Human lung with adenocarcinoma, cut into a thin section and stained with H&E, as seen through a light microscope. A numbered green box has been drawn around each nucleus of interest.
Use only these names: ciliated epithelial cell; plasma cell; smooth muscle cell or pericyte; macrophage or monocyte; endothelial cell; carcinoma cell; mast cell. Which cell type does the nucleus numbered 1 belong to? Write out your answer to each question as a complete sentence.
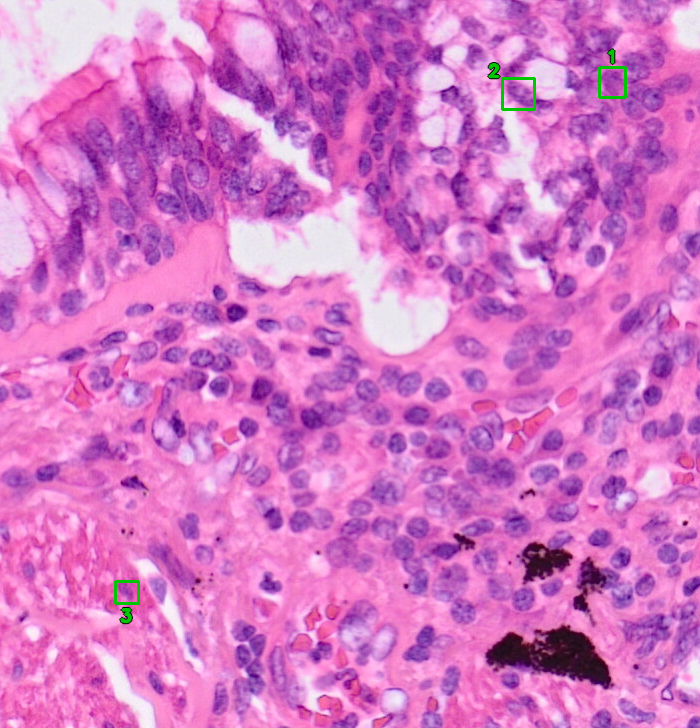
It is as a ciliated epithelial cell that the cell numbered 1 is identified.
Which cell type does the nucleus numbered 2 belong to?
The cell referred to as 2 is a ciliated epithelial cell.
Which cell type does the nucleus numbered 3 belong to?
The cell carrying label 3 is identified as a smooth muscle cell or pericyte.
